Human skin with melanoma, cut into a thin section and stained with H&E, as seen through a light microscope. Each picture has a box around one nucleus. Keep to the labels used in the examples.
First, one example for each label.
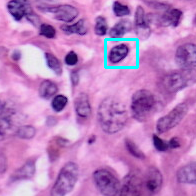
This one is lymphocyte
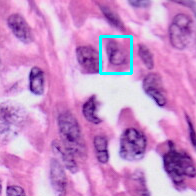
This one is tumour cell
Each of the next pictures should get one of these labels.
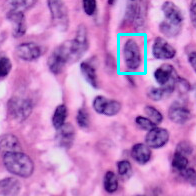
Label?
lymphocyte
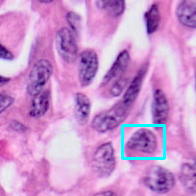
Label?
tumour cell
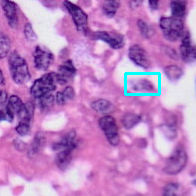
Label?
tumour cell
